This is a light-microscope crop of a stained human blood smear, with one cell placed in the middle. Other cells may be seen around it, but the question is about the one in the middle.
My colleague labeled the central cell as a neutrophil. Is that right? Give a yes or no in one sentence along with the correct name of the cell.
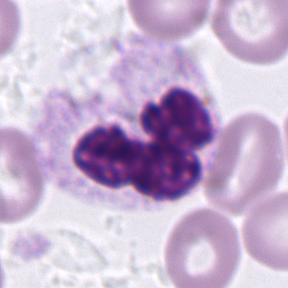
Yes, the cell in the center of this crop is a neutrophil.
